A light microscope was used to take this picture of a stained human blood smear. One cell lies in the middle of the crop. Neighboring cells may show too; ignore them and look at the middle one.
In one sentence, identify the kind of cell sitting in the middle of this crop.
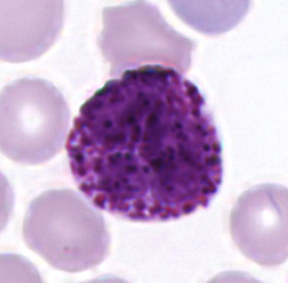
The middle position in this crop is taken by a basophil.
